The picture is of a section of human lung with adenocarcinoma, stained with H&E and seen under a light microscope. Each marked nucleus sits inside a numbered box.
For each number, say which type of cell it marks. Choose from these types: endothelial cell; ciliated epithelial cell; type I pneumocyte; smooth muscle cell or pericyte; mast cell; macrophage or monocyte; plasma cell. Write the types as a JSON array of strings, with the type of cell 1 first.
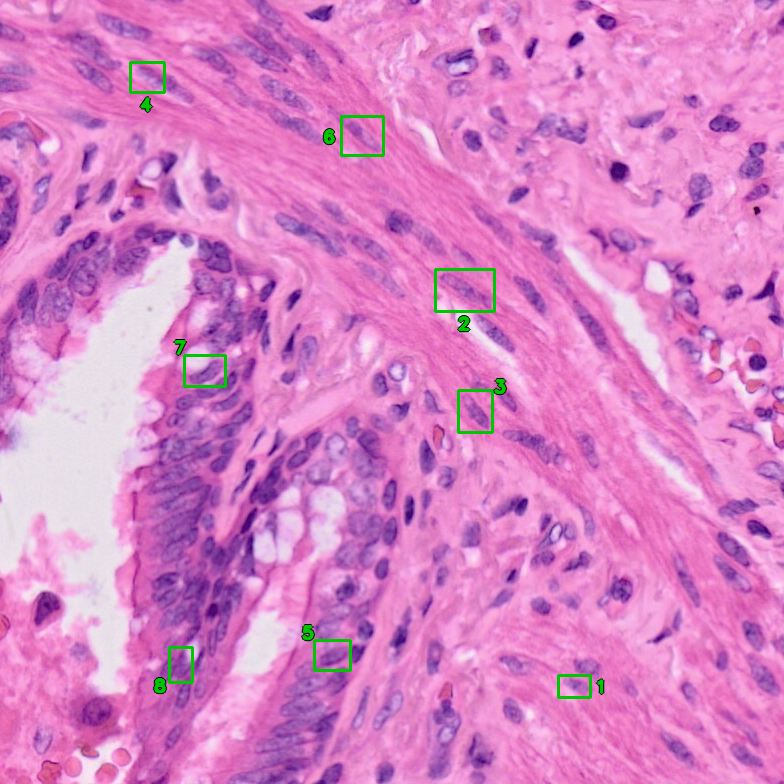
["smooth muscle cell or pericyte", "smooth muscle cell or pericyte", "smooth muscle cell or pericyte", "smooth muscle cell or pericyte", "ciliated epithelial cell", "smooth muscle cell or pericyte", "ciliated epithelial cell", "ciliated epithelial cell"]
